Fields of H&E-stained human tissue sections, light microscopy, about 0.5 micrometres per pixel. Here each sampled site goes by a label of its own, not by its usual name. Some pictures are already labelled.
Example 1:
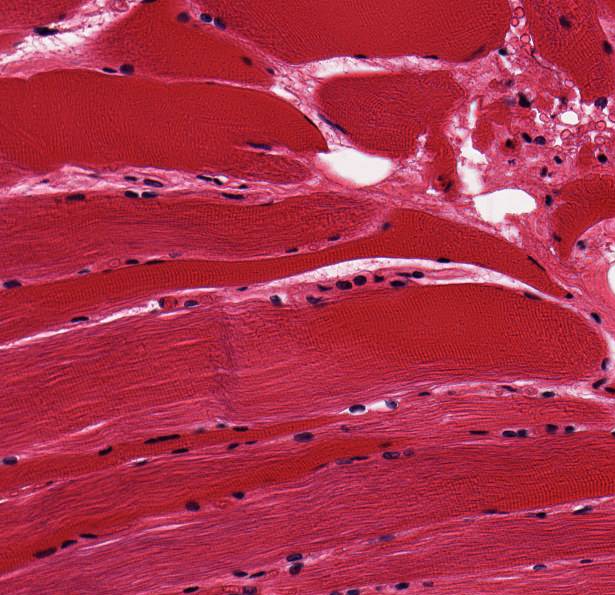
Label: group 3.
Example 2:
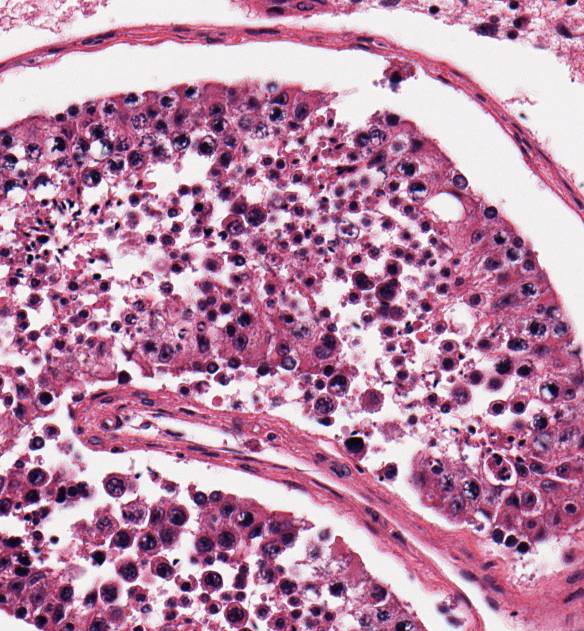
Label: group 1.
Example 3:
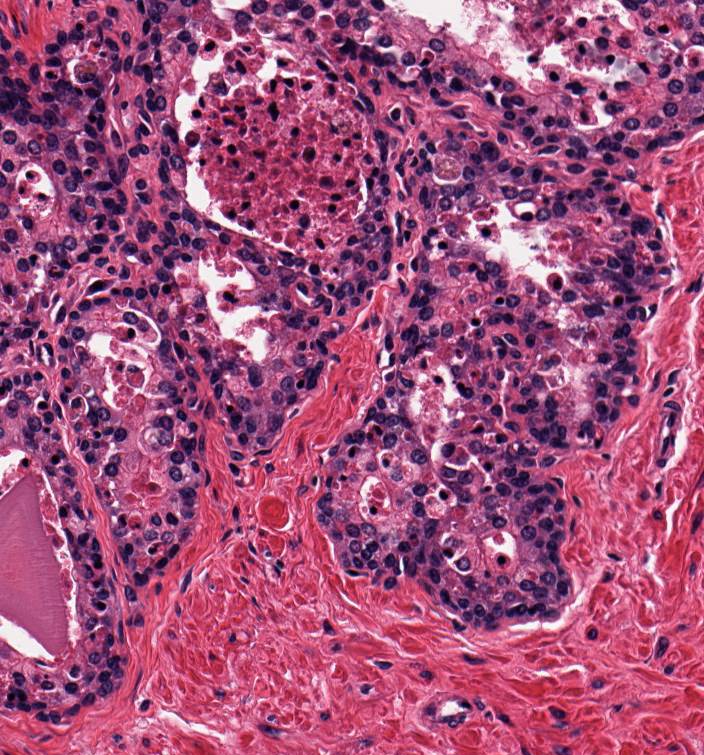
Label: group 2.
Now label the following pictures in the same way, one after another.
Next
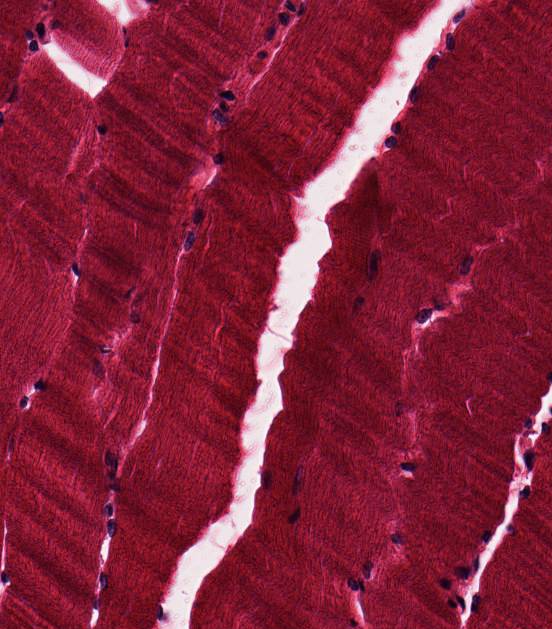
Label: group 3.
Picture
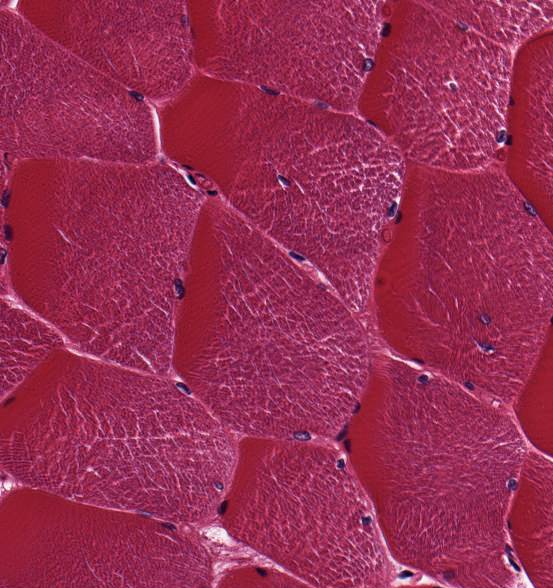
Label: group 3.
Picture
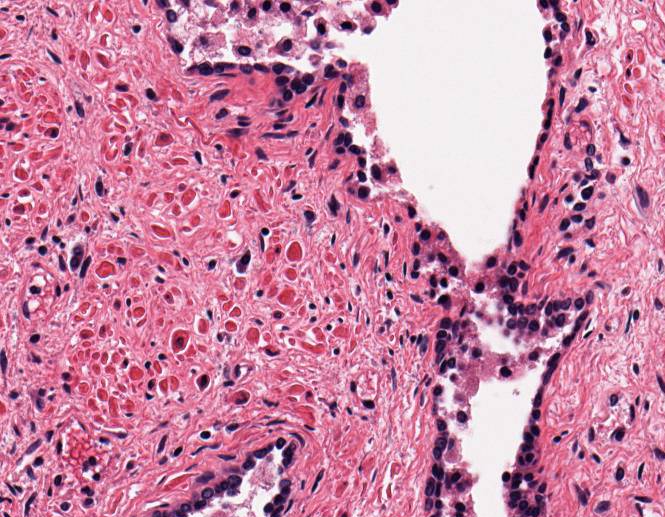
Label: group 2.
